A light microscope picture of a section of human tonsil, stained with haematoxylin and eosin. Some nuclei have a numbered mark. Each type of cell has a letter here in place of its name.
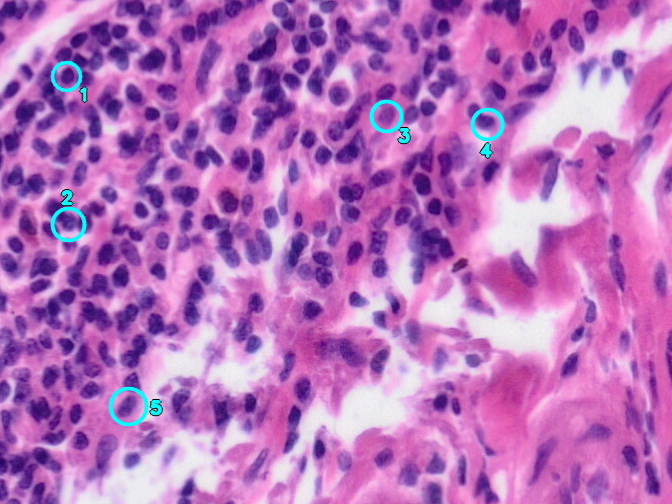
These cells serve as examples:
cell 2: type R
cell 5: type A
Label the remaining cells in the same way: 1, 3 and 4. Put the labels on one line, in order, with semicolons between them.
type R; type A; type A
